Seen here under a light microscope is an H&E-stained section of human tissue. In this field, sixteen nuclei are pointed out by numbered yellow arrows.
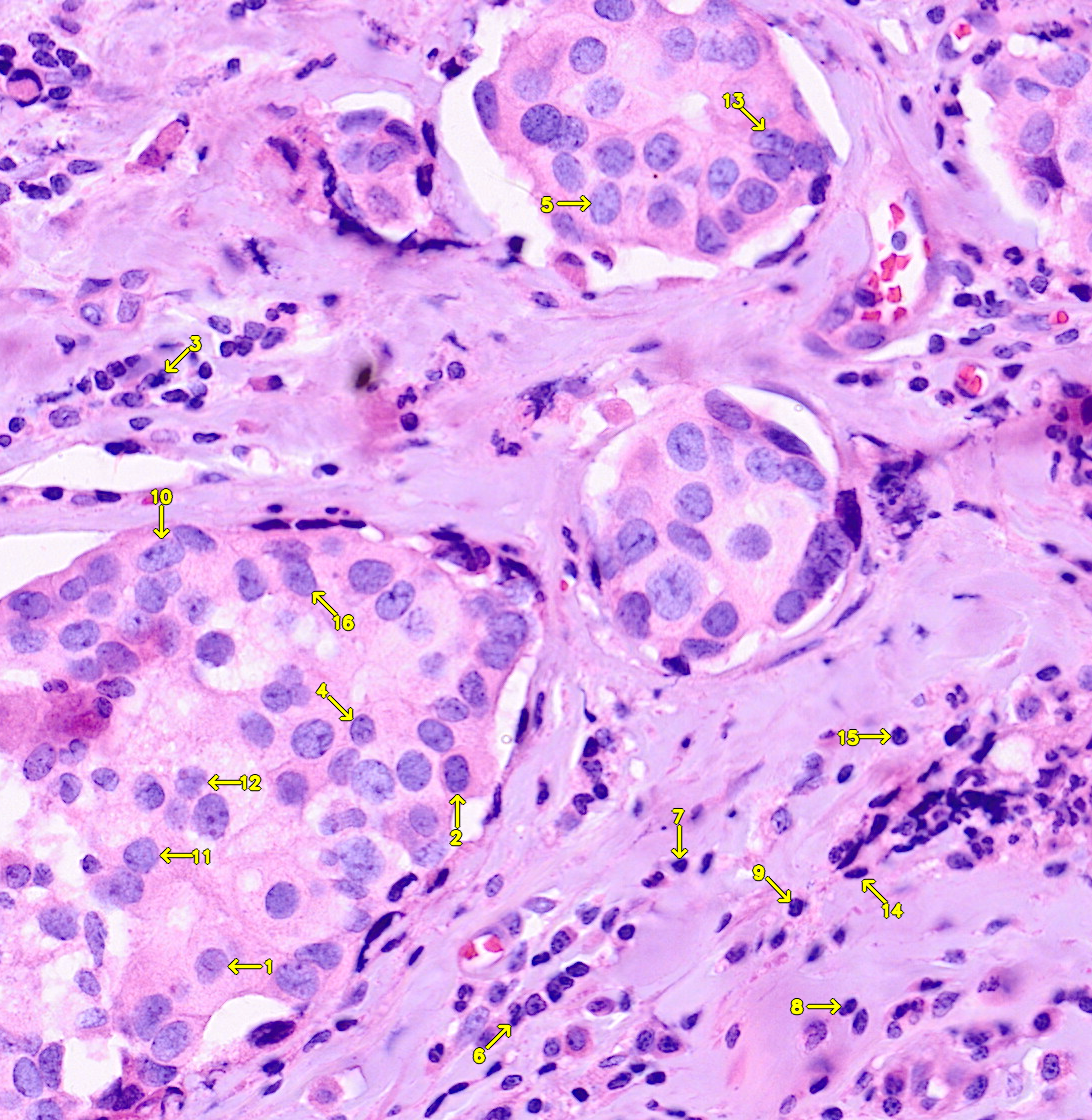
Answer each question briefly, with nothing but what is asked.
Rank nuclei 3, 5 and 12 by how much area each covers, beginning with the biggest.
5, 12, 3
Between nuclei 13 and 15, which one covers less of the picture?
15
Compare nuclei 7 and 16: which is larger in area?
16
